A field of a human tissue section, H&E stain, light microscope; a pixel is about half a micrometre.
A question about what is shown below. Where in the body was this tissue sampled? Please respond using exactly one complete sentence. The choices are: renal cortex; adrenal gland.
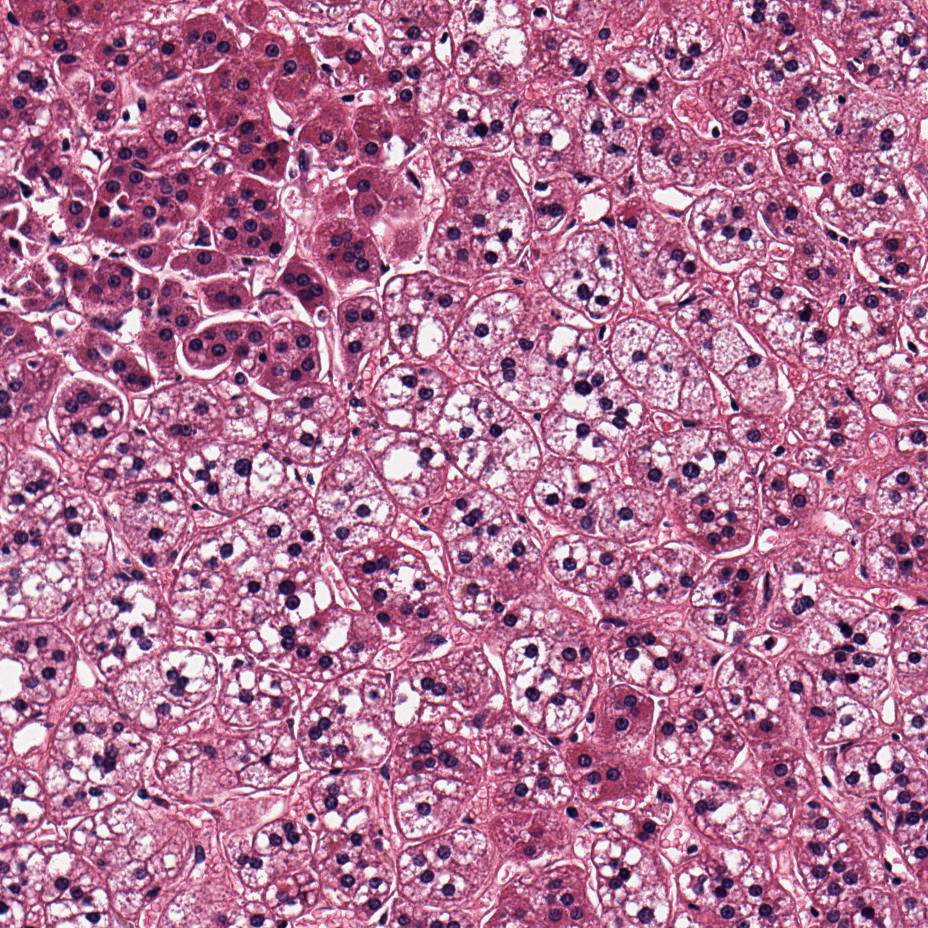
The slide carries a tissue sample from the adrenal gland.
